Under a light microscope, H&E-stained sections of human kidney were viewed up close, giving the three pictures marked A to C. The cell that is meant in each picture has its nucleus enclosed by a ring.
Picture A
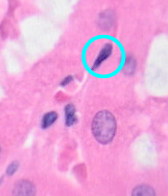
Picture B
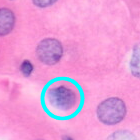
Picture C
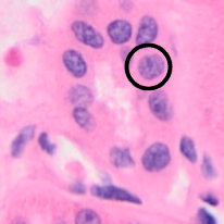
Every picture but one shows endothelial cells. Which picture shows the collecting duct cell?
C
